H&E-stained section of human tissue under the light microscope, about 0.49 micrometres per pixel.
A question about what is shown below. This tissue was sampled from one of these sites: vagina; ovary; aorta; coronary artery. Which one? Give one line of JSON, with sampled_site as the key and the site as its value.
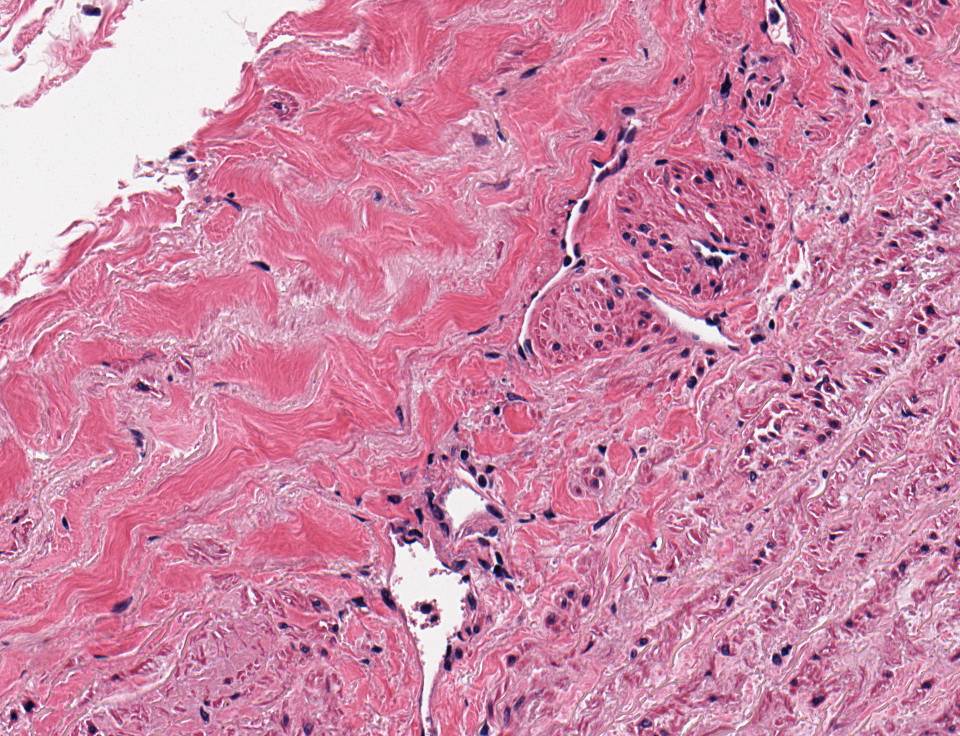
{"sampled_site": "aorta"}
